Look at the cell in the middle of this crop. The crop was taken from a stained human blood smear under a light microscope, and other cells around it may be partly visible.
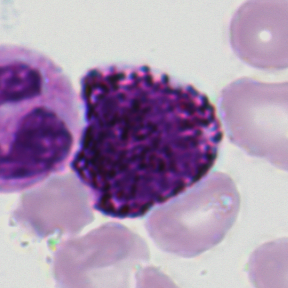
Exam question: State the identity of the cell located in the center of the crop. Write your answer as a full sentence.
The middle cell in this particular crop is a basophil.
